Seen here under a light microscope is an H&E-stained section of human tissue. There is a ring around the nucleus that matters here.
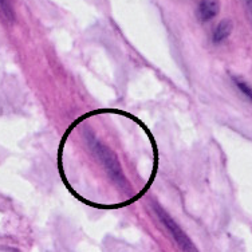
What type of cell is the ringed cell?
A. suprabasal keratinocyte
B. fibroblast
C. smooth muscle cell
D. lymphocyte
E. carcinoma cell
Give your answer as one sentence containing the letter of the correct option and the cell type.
Option C is the correct one, since the ringed cell is a smooth muscle cell.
